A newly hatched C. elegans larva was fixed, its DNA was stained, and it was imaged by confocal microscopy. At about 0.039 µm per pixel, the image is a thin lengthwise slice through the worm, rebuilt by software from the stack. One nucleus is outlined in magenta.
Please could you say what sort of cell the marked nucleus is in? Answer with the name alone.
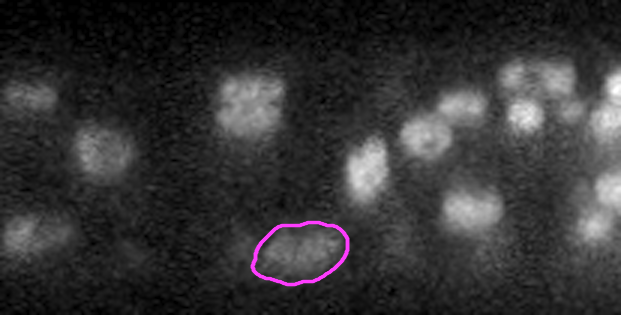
hypodermal cell (hyp)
